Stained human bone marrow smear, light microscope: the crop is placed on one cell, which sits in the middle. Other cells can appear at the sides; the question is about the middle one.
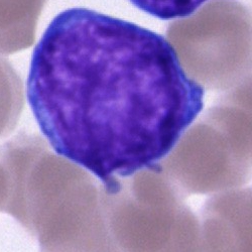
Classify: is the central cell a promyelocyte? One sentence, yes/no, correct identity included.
No, the centre of the crop is taken up by a blast, not a promyelocyte.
